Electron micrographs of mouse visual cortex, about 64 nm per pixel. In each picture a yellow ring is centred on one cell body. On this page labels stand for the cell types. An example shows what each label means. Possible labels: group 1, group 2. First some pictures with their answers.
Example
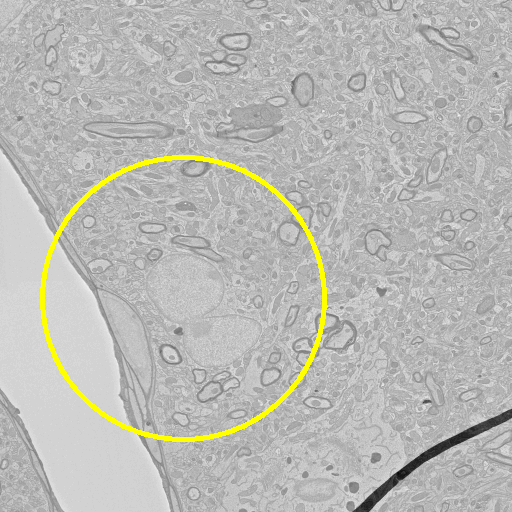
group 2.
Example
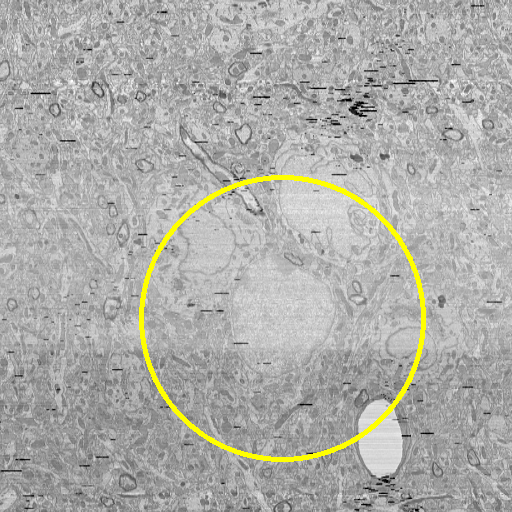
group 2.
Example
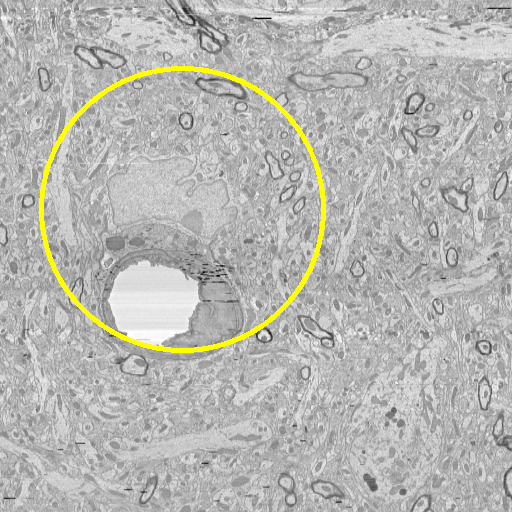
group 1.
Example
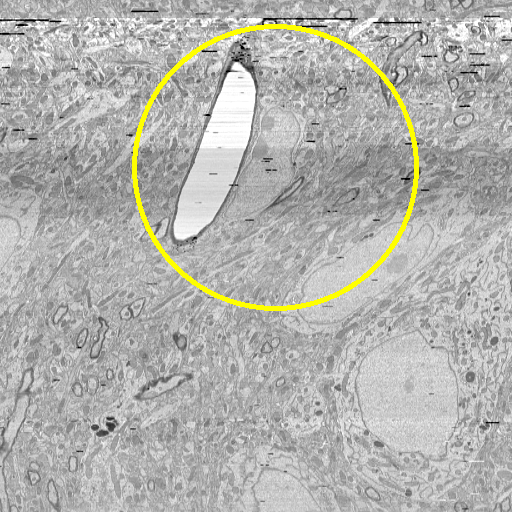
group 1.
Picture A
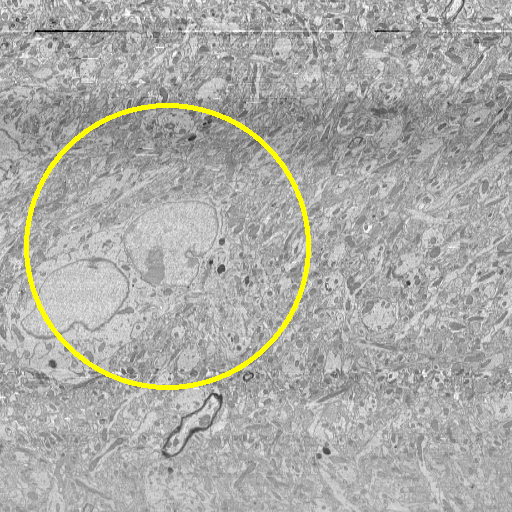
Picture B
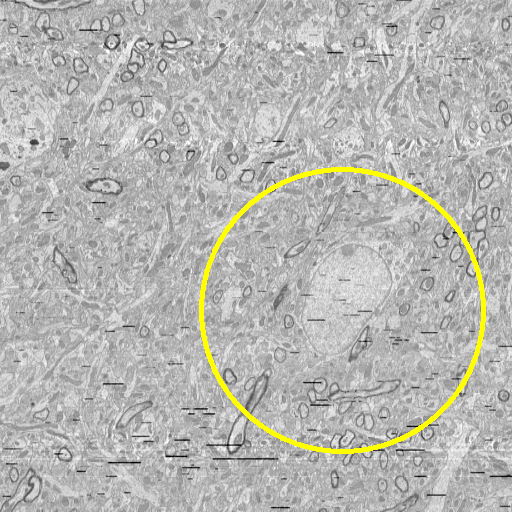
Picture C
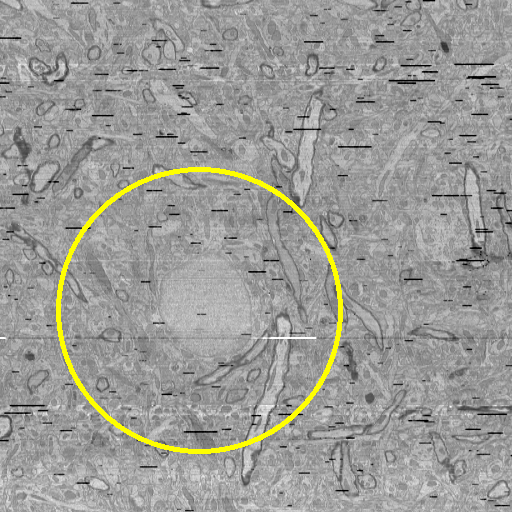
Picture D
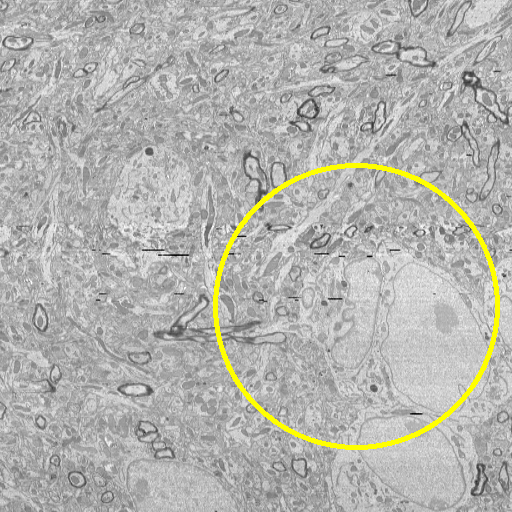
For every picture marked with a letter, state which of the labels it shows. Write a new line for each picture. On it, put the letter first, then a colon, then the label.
A: group 1.
B: group 2.
C: group 2.
D: group 1.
